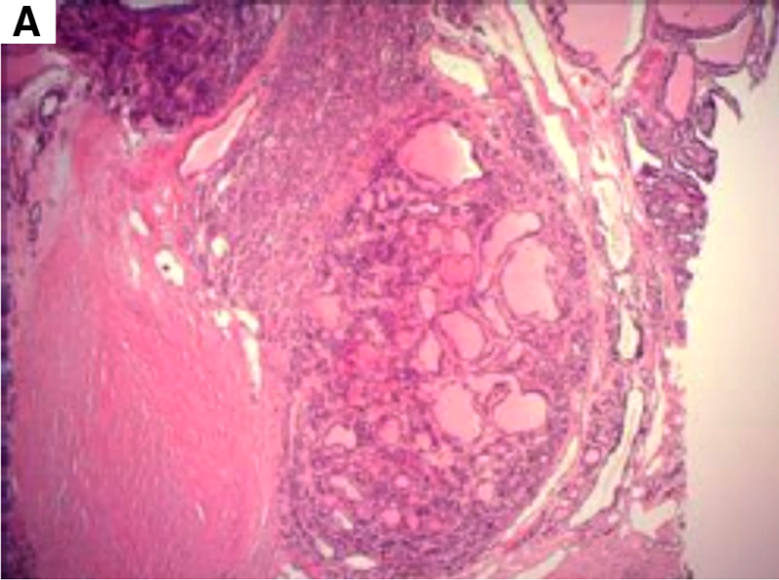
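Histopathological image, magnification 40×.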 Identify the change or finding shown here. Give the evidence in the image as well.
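Adenomatous nodular goiter with cystic changes. A rounded nodule of thyroid follicles of varying size is set off from the surrounding tissue by a fibrous band. Many follicles are distended and filled with pink colloid. A large pink, acellular, colloid-like area lies at the left.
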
